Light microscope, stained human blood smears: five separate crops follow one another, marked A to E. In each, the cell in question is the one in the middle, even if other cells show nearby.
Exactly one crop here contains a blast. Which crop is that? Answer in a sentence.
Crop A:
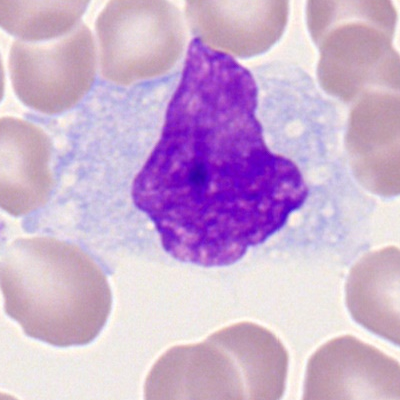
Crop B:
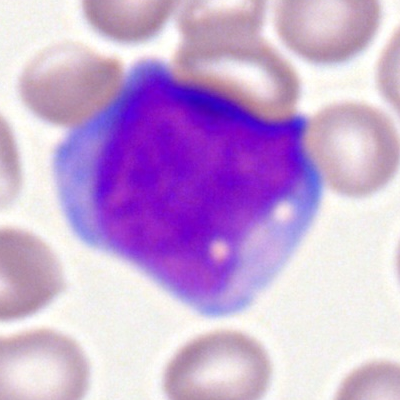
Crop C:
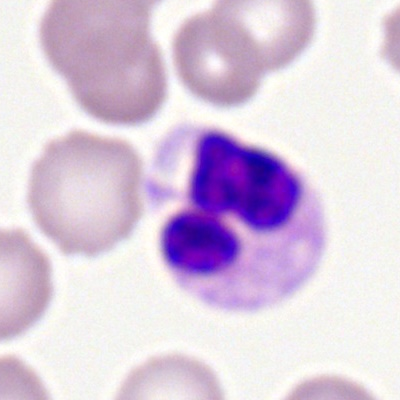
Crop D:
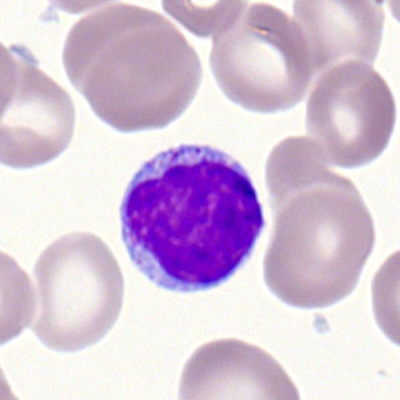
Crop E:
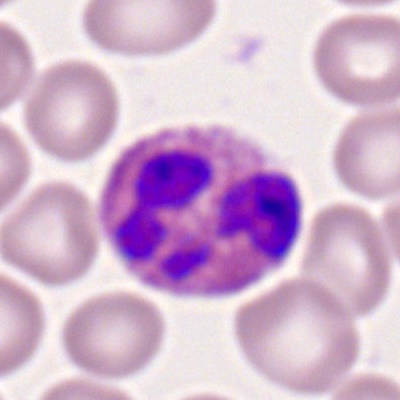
Crop B matches the request, showing a blast.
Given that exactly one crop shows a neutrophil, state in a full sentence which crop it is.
In this series, a neutrophil is shown by crop C.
